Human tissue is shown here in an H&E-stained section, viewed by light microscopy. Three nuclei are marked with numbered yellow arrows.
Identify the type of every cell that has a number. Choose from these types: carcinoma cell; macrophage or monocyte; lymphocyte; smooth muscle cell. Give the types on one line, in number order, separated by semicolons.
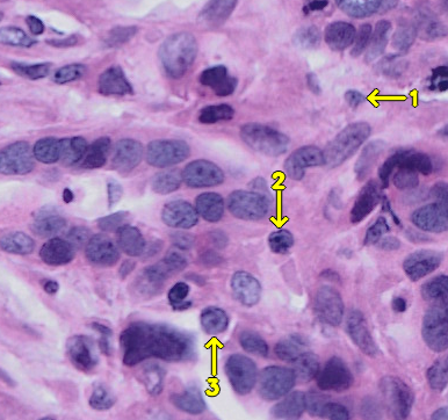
lymphocyte; lymphocyte; macrophage or monocyte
